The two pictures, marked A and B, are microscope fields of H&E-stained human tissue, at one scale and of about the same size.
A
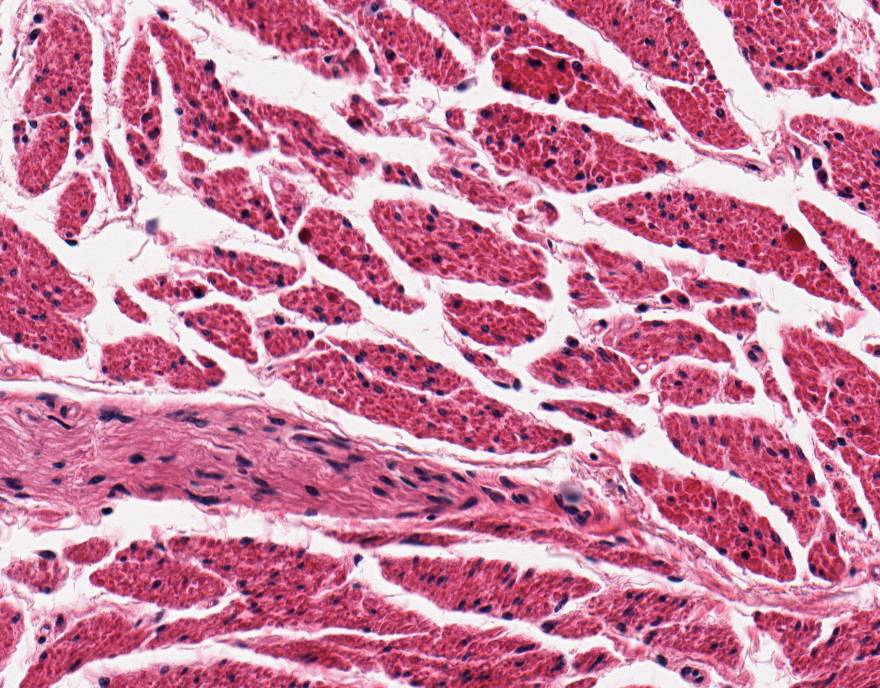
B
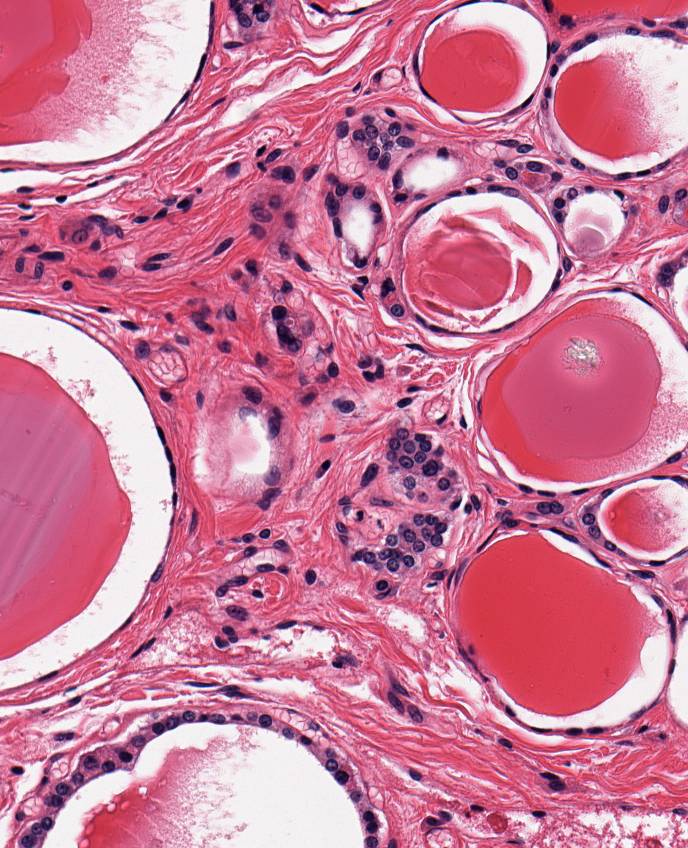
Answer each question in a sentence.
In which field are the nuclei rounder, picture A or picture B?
On the whole the nuclei of picture A are rounder than those of picture B.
